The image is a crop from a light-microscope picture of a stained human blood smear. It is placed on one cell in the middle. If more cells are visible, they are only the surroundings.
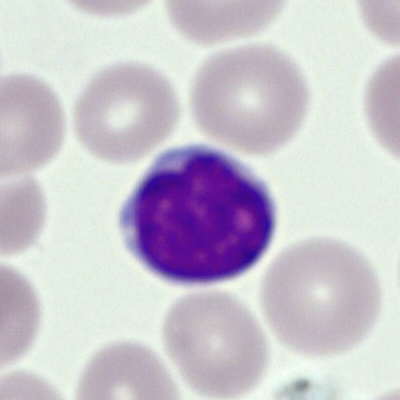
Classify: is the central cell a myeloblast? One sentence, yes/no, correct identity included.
No, the central cell is classed as a lymphocyte, not a myeloblast.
